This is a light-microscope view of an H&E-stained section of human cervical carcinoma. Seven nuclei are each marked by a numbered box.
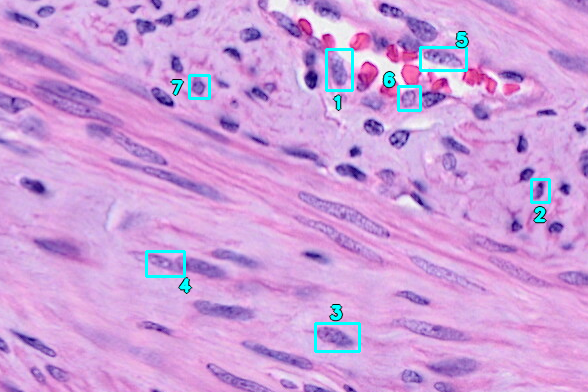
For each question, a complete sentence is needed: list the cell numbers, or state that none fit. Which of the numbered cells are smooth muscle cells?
The cells carrying labels 2, 3, 4 and 7 are smooth muscle cells.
